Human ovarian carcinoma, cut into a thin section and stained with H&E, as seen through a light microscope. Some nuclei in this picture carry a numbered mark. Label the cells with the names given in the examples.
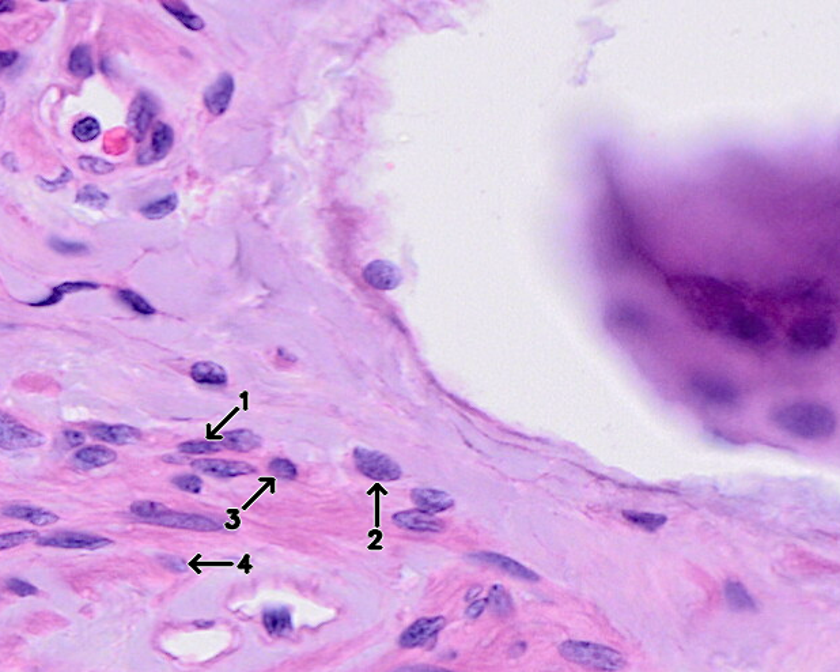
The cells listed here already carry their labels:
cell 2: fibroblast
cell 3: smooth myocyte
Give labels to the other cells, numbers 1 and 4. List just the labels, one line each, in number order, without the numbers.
smooth myocyte
smooth myocyte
